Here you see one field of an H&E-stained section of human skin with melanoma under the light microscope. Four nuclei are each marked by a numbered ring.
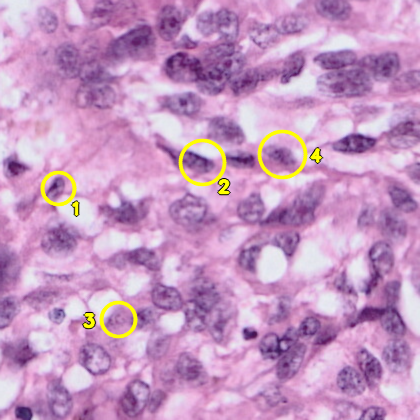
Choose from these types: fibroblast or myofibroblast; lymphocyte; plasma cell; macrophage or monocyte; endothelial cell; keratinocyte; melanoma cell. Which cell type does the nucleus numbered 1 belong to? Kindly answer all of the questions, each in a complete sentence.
The cell marked with the number 1 is a macrophage or monocyte.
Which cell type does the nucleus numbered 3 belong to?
Identified as a melanoma cell is the cell bearing the number 3.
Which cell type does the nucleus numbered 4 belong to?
Within this field of view, the cell labelled 4 is a melanoma cell.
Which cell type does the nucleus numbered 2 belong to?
The cell marked with the number 2 is a melanoma cell.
